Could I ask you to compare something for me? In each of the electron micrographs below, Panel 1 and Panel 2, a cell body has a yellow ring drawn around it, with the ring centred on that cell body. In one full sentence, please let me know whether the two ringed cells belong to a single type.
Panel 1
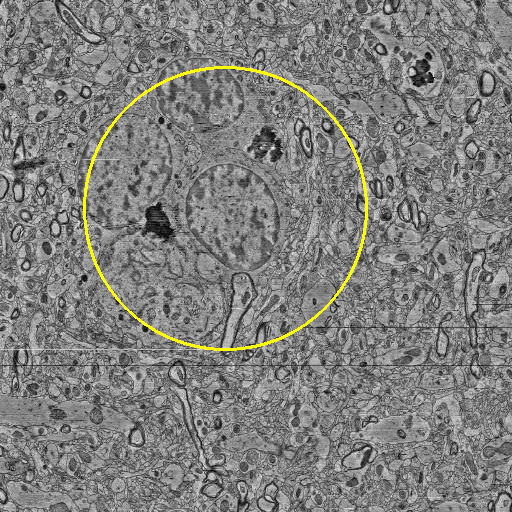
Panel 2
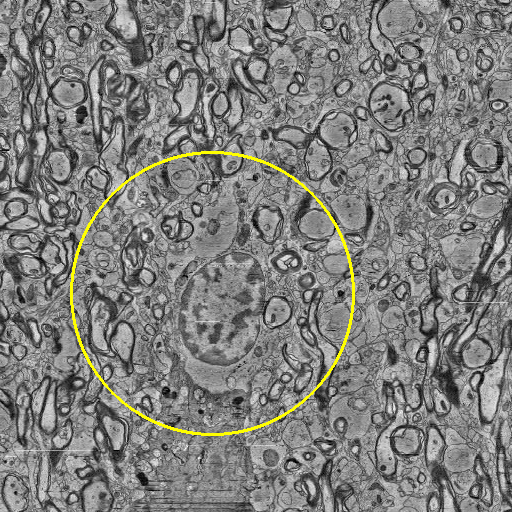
No, the two cells at the centres of the rings are of two types.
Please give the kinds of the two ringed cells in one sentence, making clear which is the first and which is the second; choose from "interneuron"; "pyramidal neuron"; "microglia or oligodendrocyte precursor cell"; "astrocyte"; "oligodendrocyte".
In the second picture the ringed cell is a microglial cell or oligodendrocyte precursor cell; in the first it is an oligodendrocyte.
